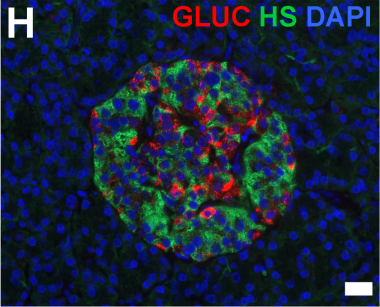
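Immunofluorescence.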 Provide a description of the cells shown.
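A round islet sits within pancreatic tissue whose cells show blue nuclei. The red and green labels largely stay apart, with little yellow overlap.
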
